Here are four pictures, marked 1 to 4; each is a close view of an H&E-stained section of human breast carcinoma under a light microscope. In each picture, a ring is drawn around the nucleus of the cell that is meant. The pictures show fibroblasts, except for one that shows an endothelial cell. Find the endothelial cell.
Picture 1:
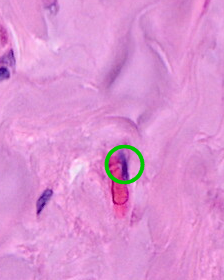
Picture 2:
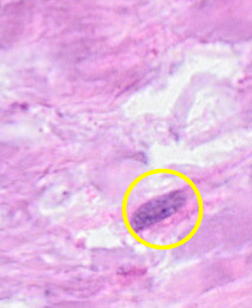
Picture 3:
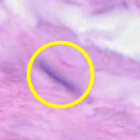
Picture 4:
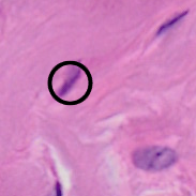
1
